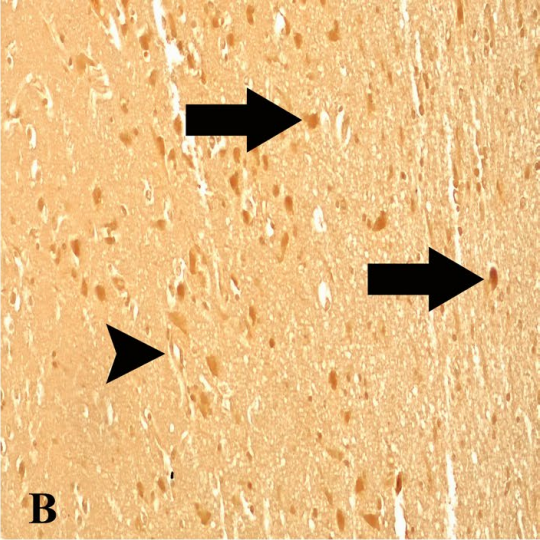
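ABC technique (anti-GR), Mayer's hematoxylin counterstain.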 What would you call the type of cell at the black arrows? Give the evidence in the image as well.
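The arrows point to brown-stained cell bodies in the neuropil. Some stained cell bodies are angular with tapering extensions.
Hence: neuronal.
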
